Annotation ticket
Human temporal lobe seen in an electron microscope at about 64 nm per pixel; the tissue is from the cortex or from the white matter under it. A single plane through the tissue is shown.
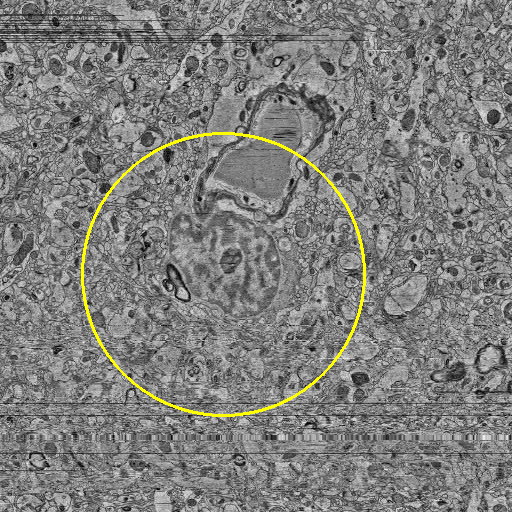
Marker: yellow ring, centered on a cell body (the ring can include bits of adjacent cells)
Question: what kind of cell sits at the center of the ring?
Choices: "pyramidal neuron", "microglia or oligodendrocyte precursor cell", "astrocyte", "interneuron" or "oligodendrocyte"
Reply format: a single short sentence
The ring is centered on an oligodendrocyte.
